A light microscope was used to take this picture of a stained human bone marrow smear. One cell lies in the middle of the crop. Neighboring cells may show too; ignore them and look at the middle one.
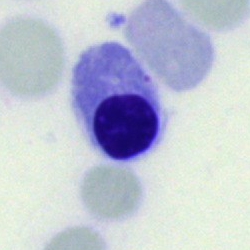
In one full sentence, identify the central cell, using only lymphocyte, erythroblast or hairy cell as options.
The cell at the central position in this crop is an erythroblast.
